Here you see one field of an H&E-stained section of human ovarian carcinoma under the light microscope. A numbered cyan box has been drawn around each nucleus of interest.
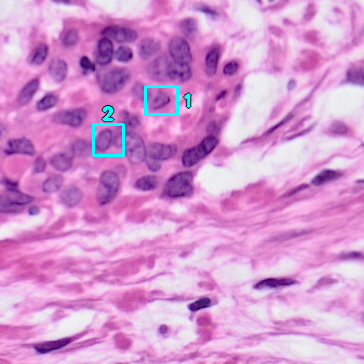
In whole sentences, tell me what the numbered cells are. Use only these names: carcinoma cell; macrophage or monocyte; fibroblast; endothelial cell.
Cell 1 is a macrophage or monocyte. Cell 2 is a carcinoma cell.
